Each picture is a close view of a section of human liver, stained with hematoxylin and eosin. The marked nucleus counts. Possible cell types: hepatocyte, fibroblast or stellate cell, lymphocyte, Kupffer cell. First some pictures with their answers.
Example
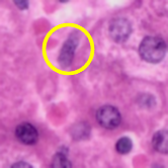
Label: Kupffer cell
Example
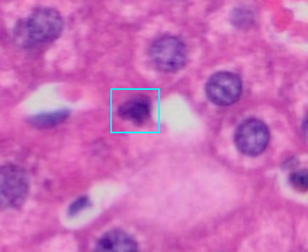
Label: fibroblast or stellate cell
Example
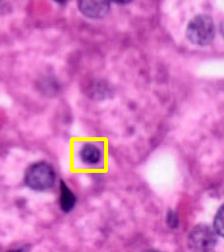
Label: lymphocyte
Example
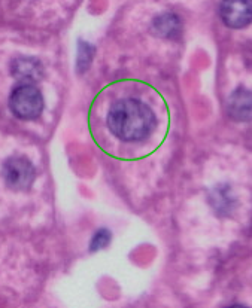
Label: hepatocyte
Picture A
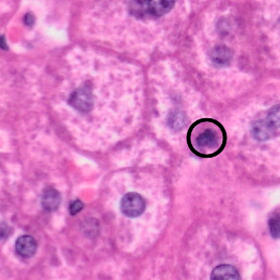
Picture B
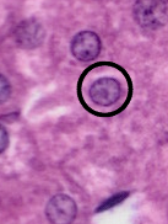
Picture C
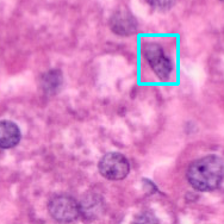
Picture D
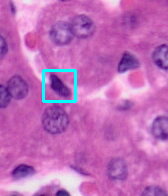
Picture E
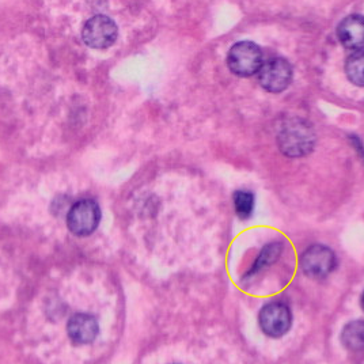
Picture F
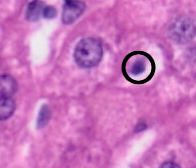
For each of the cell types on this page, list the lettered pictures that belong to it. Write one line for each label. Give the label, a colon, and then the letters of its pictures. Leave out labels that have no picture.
hepatocyte: B
fibroblast or stellate cell: A, D
lymphocyte: F
Kupffer cell: C, E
